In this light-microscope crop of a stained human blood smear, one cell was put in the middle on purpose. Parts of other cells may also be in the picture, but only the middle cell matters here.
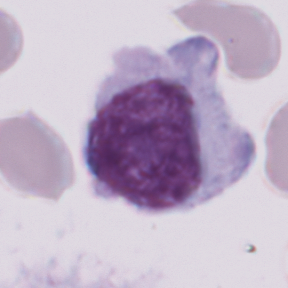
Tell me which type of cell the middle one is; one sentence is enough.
This particular crop is centered on a plasma cell.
